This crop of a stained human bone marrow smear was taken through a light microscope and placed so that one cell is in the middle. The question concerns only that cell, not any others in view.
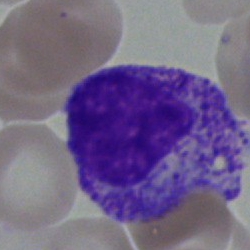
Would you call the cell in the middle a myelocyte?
yes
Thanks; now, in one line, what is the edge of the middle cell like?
The cell membrane follows an uneven contour, either ragged or bearing projections.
